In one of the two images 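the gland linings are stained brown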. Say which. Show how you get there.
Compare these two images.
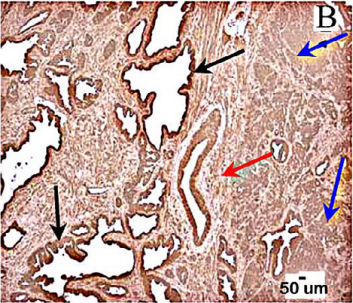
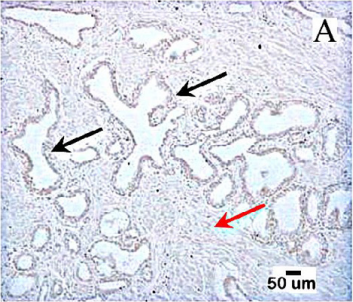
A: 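First image: the linings of the gland spaces and much of the tissue are brown. So: the first image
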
